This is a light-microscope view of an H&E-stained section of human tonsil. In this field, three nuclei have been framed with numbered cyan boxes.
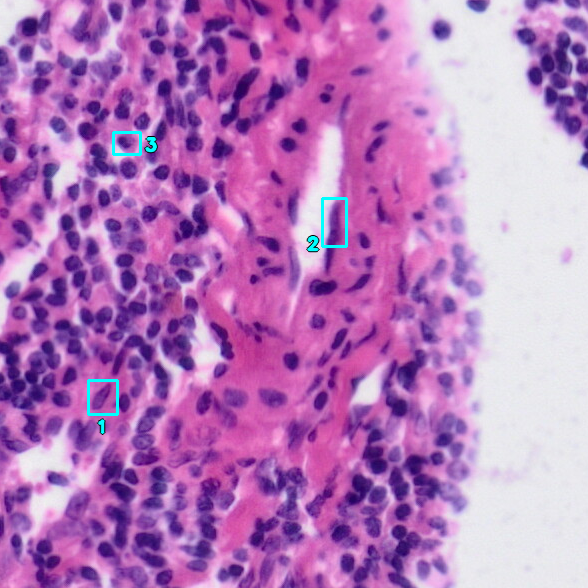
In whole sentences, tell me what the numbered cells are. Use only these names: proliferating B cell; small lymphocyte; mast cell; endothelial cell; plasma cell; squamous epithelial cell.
Cells 1 and 2 are endothelial cells. Cell 3 is a plasma cell.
